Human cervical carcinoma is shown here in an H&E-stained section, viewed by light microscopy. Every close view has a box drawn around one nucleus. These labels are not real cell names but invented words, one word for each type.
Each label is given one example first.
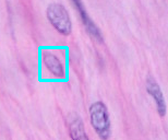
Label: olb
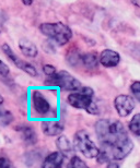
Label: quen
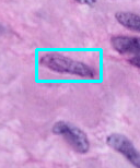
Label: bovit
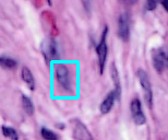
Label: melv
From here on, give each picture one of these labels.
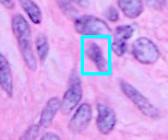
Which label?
olb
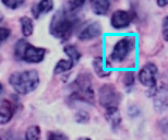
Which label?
quen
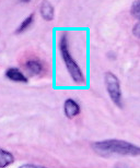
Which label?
bovit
